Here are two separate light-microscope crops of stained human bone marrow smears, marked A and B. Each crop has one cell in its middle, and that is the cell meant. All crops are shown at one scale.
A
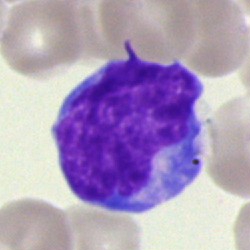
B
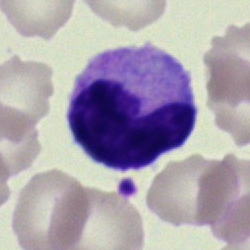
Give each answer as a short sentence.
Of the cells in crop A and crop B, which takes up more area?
Crop A holds the larger cell; it covers about 1.5 times the area of the cell in crop B.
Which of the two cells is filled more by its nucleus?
Of the two, the nucleus in crop A makes up the greater part of its cell.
